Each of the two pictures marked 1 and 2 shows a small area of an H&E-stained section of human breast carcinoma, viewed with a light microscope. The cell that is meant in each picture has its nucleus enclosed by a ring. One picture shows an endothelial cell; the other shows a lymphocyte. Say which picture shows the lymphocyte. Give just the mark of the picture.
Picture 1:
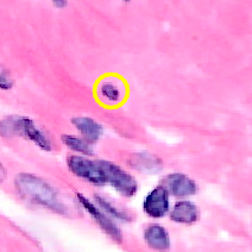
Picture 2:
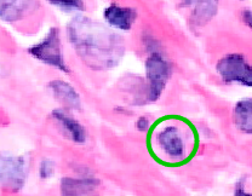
1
